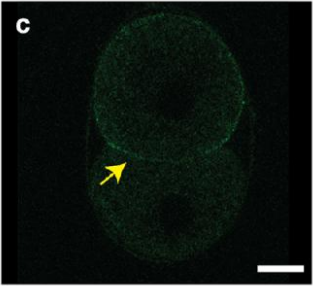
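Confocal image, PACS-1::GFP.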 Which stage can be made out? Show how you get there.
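2-cell embryos. An oval eggshell encloses two cells. A bright line separates the two cells across the middle.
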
